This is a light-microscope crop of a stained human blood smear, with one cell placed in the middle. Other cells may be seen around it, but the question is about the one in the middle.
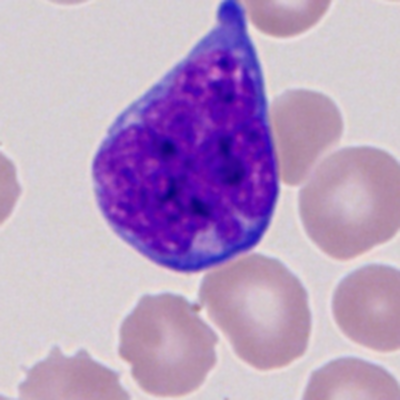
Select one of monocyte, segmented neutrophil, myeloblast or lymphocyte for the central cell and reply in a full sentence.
In the middle of this smear crop is a myeloblast.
